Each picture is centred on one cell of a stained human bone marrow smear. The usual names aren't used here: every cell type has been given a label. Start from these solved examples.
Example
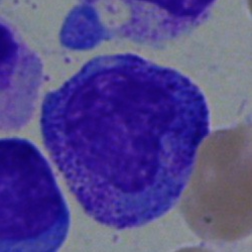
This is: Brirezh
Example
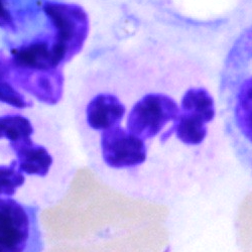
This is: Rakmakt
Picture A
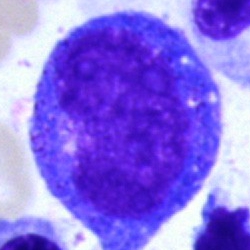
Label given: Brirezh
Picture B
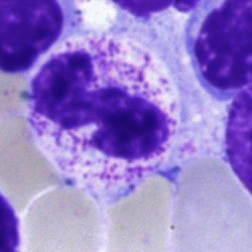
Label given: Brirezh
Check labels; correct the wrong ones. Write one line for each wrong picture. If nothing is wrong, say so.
Wrong: B (Brirezh); correct: Rakmakt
